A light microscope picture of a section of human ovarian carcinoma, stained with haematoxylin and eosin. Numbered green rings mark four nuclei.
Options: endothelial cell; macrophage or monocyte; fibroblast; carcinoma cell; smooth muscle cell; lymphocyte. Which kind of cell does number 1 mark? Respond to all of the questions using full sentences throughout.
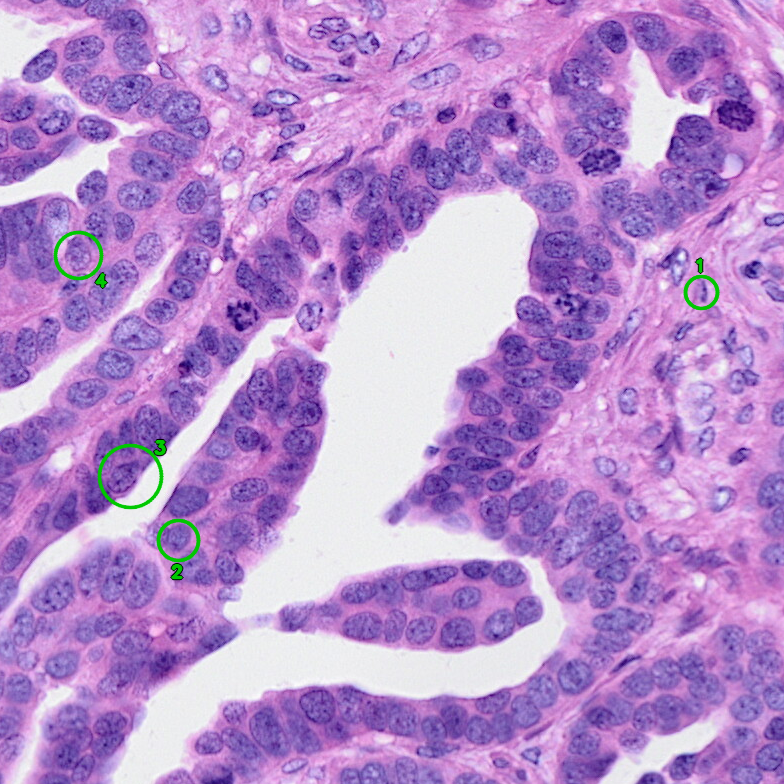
Identified by the number 1, the cell is a fibroblast.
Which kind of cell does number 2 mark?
Nucleus 2 in this section belongs to a carcinoma cell.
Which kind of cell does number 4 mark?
Among the marked nuclei, number 4 belongs to a carcinoma cell.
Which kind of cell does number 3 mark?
It is as a carcinoma cell that the cell numbered 3 is identified.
